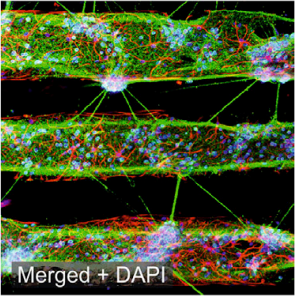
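This is a culture of neurons and astrocytes lying on three parallel raised tracks separated by dark empty gaps. Green neuronal processes form a dense mesh along each track, and a few bundles of straight green processes leave clusters of cells at the track edges to cross the gaps to the next track. Red star-shaped astrocytes with fine branches spread over the track surfaces, and small round blue nuclei are scattered among them, crowding into aggregates at the edges.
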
